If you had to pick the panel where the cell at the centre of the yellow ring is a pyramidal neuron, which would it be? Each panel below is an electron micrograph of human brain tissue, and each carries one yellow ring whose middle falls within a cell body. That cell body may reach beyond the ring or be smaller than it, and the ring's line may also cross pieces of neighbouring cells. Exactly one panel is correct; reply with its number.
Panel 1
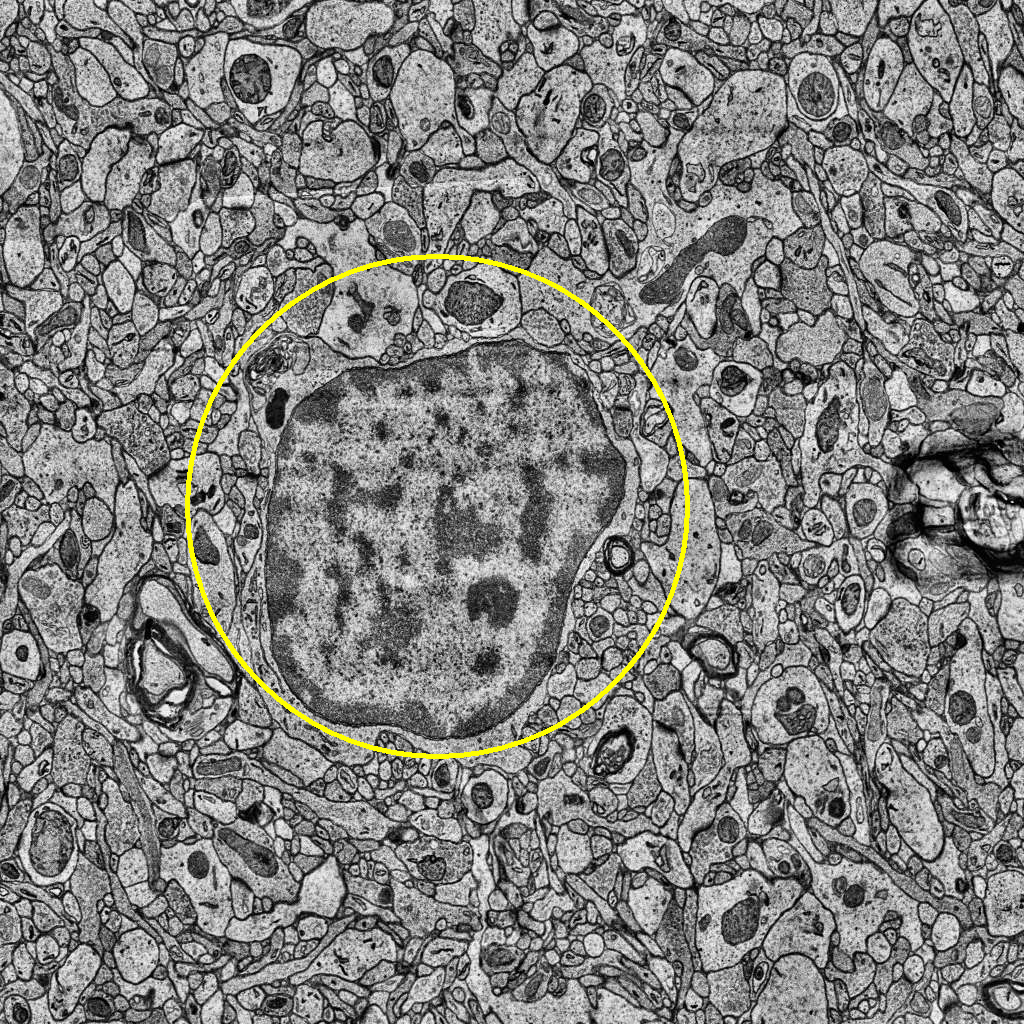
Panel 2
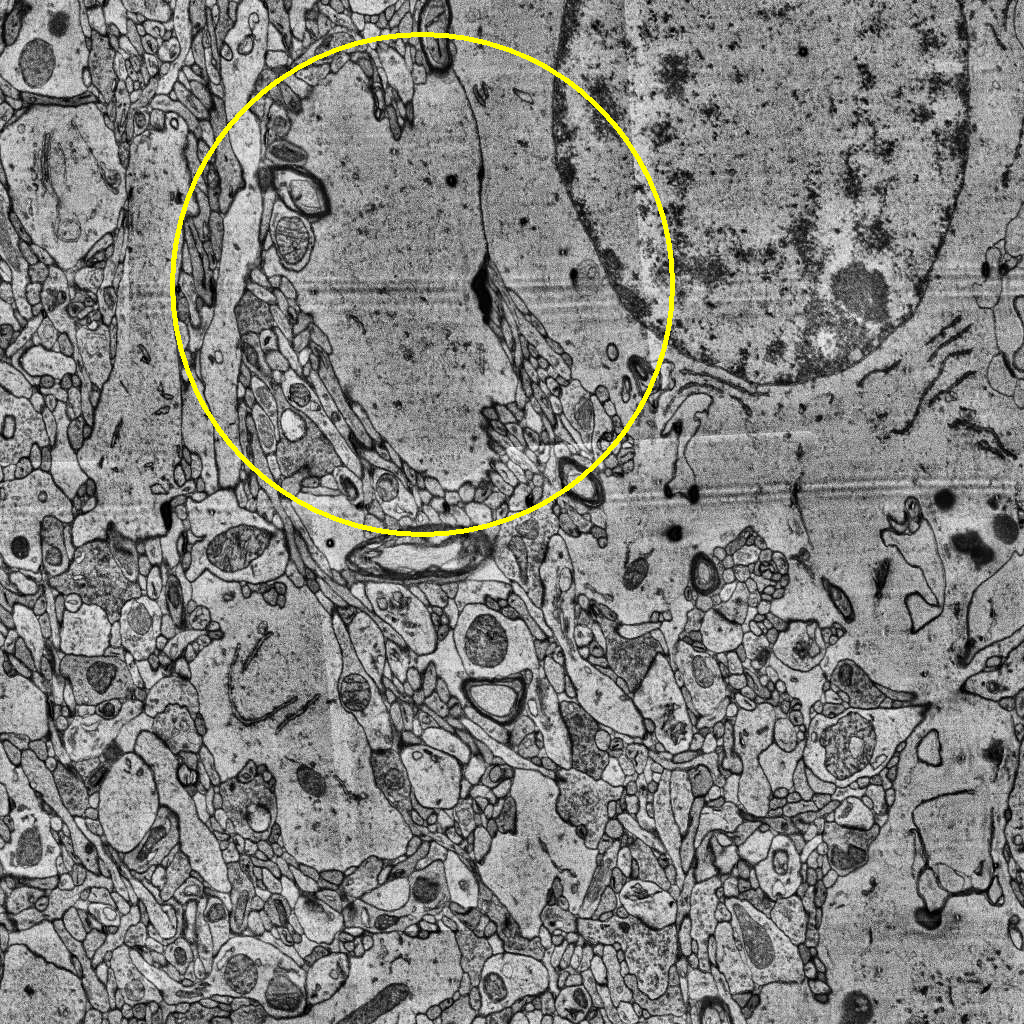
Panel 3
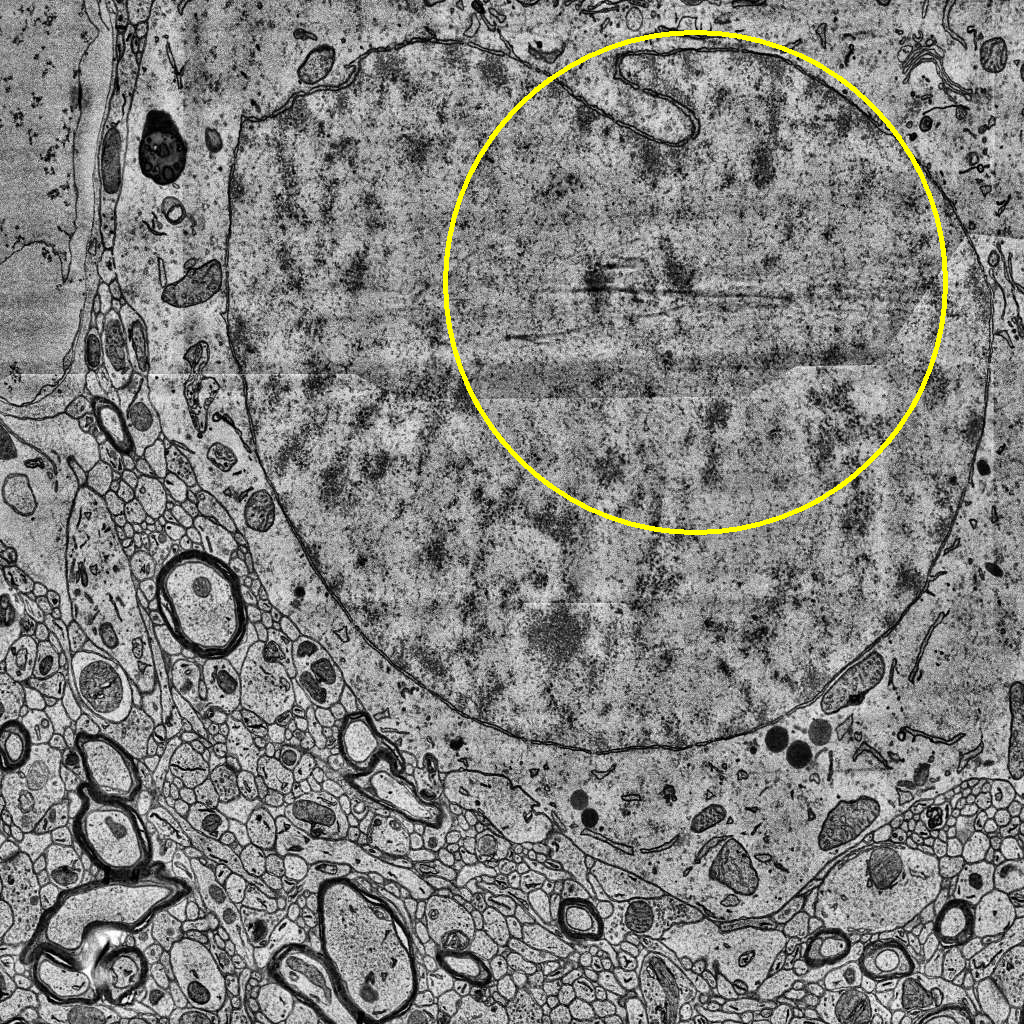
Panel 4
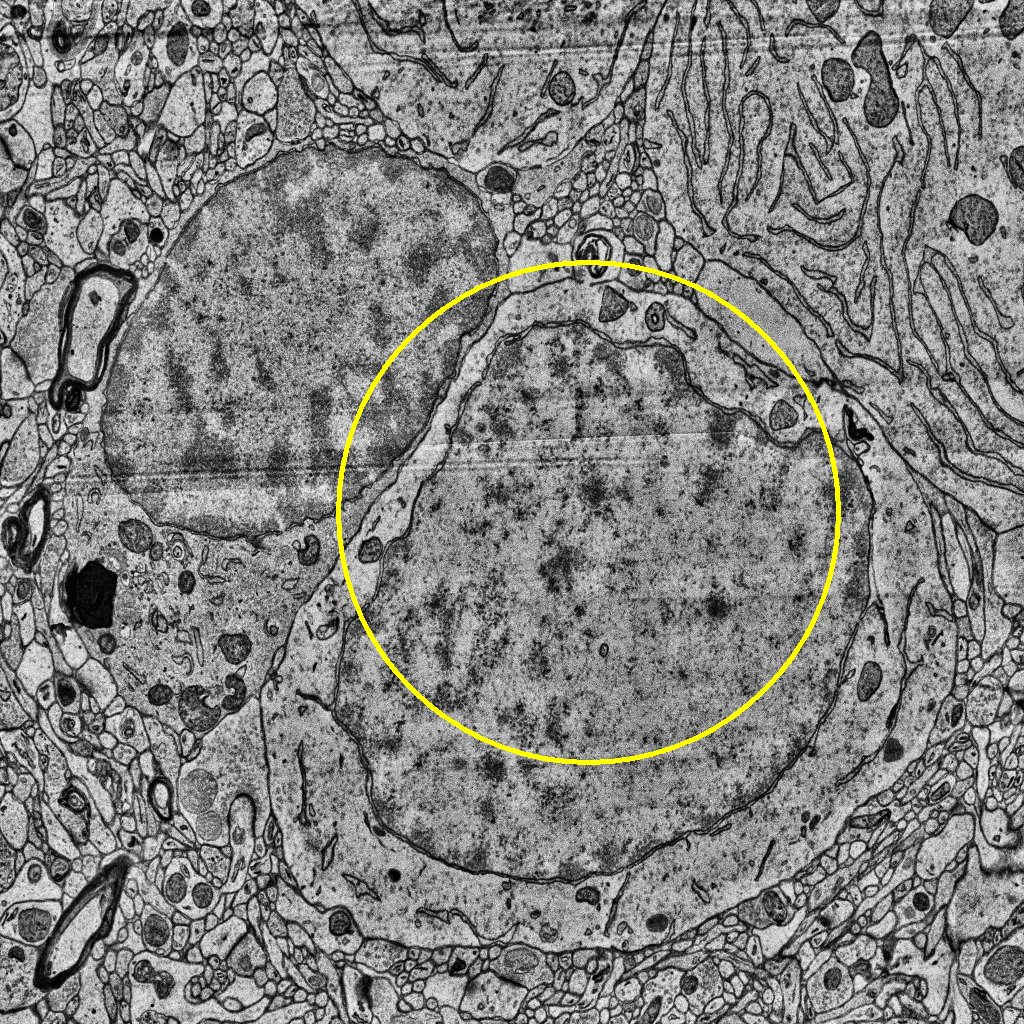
3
